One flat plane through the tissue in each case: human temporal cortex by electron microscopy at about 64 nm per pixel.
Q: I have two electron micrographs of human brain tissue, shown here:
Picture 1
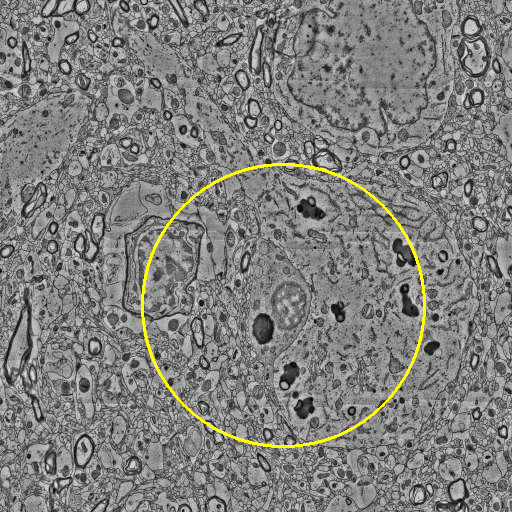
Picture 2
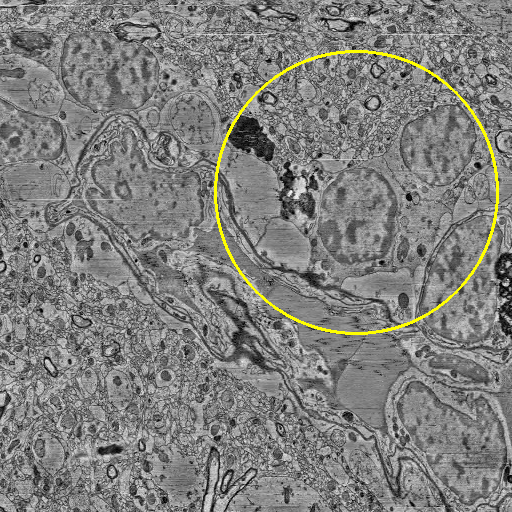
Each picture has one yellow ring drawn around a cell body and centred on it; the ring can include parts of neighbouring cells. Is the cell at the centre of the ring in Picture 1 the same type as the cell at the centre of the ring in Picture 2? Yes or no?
yes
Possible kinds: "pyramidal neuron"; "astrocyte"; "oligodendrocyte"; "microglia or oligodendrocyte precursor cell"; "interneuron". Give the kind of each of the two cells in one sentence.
The cell in the first picture is an oligodendrocyte, and so is the one in the second.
